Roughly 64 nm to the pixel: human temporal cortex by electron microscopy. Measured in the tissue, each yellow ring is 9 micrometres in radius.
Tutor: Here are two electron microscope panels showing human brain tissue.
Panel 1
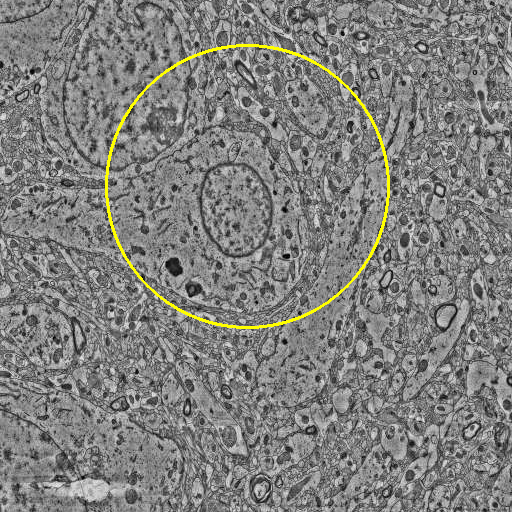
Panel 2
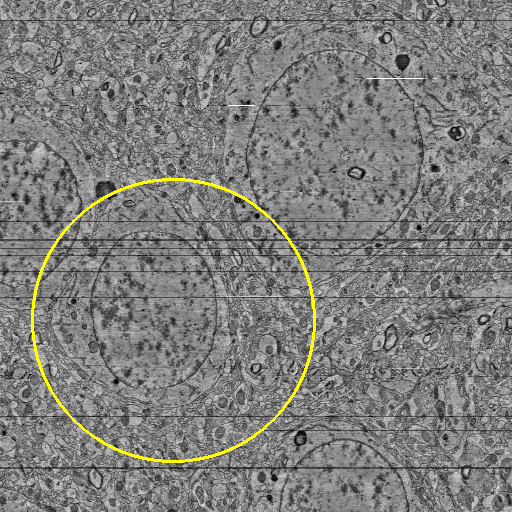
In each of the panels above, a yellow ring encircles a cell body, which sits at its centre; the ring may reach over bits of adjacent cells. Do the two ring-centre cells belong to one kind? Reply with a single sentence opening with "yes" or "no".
Yes, the two cells sitting at the ring centres in the panels belong to one kind.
